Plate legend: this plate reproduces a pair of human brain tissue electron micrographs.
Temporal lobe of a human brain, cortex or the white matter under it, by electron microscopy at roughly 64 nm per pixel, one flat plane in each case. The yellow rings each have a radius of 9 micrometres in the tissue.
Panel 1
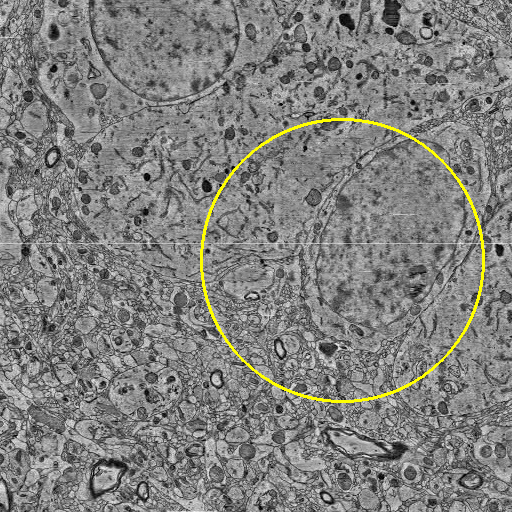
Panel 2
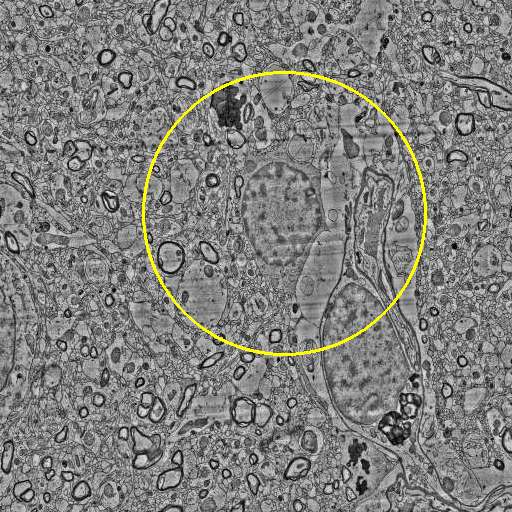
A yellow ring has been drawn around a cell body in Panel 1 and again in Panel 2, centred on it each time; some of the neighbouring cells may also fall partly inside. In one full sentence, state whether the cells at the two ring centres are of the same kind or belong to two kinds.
The ring-centred cells of Panel 1 and Panel 2 belong to two kinds.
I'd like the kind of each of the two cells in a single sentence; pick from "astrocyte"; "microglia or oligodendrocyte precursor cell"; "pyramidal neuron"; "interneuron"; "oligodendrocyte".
The first ring marks an interneuron, and the second ring marks an oligodendrocyte.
